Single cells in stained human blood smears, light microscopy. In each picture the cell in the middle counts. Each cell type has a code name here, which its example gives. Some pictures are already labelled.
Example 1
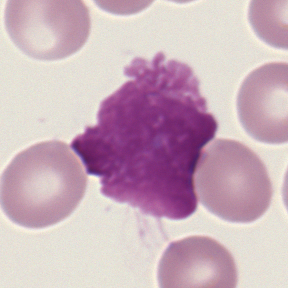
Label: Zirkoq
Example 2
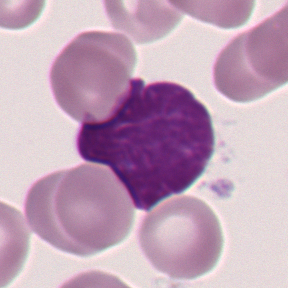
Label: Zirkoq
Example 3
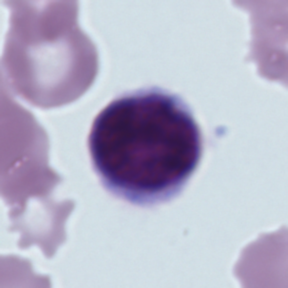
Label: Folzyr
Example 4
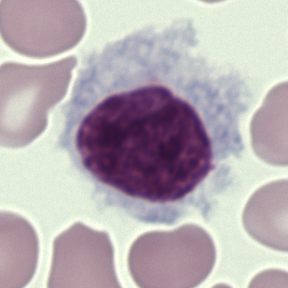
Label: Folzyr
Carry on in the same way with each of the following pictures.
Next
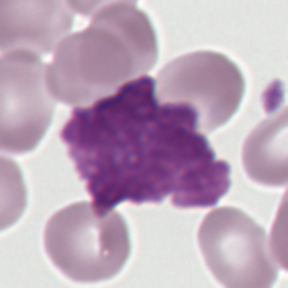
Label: Zirkoq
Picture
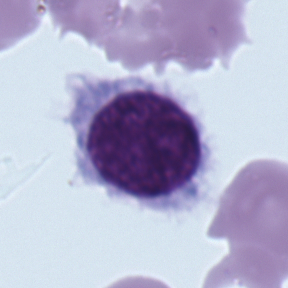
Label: Folzyr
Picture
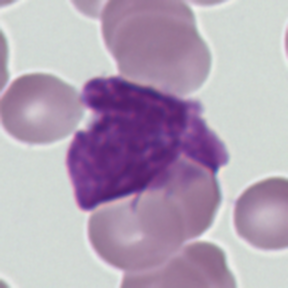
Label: Zirkoq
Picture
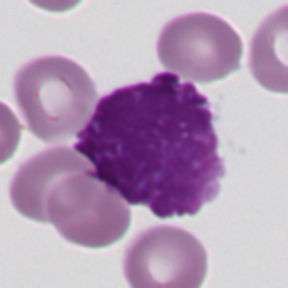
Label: Zirkoq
